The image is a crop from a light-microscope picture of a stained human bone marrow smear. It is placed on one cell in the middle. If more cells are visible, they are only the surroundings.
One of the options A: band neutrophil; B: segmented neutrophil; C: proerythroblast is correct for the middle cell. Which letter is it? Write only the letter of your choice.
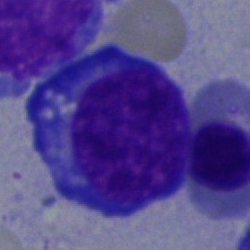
C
